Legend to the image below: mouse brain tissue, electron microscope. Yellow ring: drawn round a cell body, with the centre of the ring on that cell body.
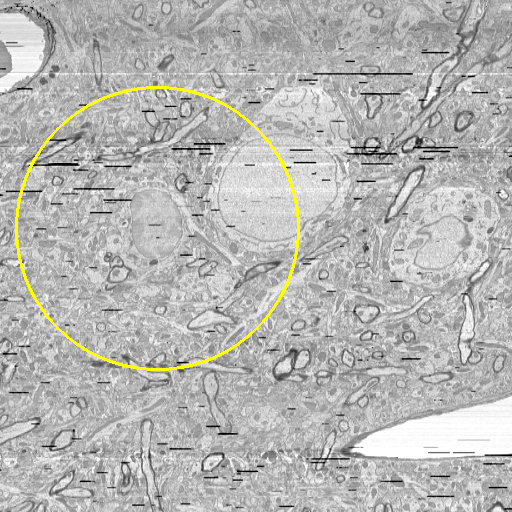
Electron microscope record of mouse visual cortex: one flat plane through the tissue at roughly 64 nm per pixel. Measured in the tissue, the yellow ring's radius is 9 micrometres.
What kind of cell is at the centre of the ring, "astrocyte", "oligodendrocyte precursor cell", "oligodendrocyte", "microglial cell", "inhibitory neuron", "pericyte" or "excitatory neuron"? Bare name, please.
microglial cell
